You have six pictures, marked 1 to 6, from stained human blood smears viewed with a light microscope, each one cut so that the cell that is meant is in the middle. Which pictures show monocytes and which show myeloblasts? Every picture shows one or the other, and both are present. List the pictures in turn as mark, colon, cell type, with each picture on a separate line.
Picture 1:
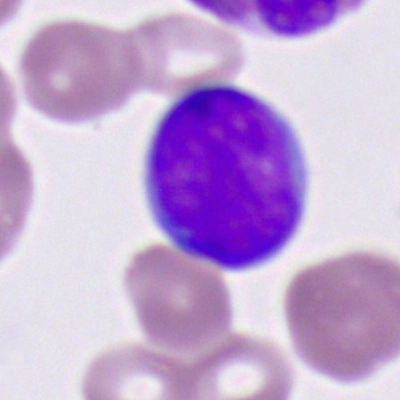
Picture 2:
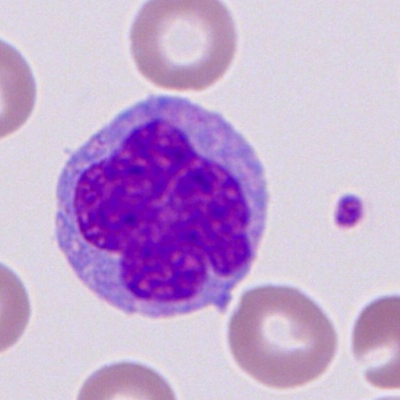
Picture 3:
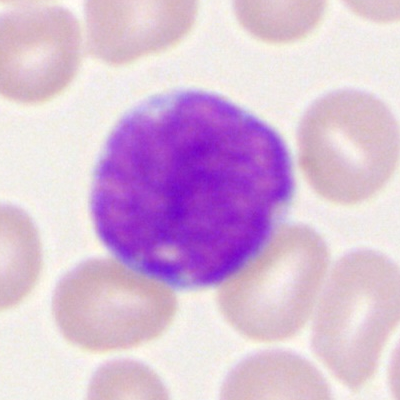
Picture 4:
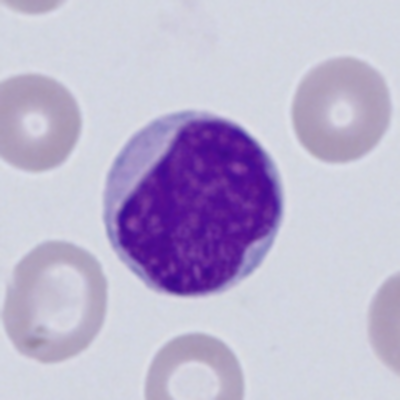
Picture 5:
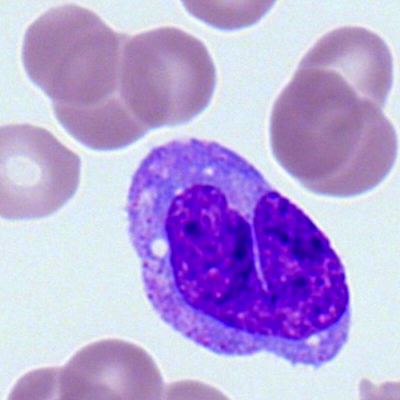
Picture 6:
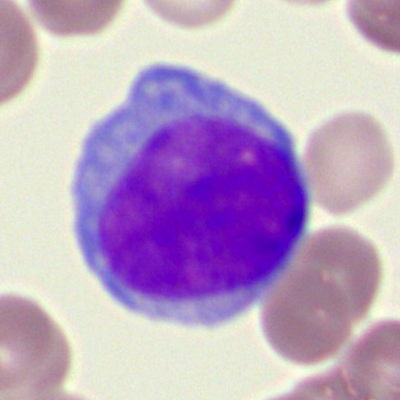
1: myeloblast
2: monocyte
3: myeloblast
4: myeloblast
5: monocyte
6: myeloblast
